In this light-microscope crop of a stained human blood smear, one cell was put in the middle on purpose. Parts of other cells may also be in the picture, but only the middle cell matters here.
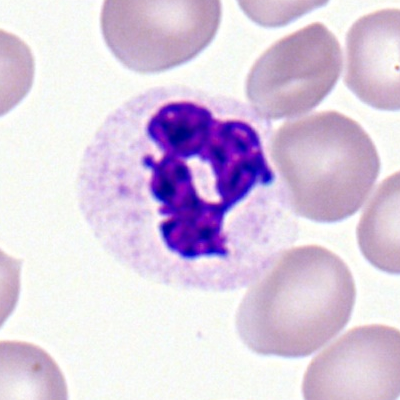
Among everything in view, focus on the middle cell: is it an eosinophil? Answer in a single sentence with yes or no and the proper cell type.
No; rather than an eosinophil, the cell at the center is a segmented neutrophil.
